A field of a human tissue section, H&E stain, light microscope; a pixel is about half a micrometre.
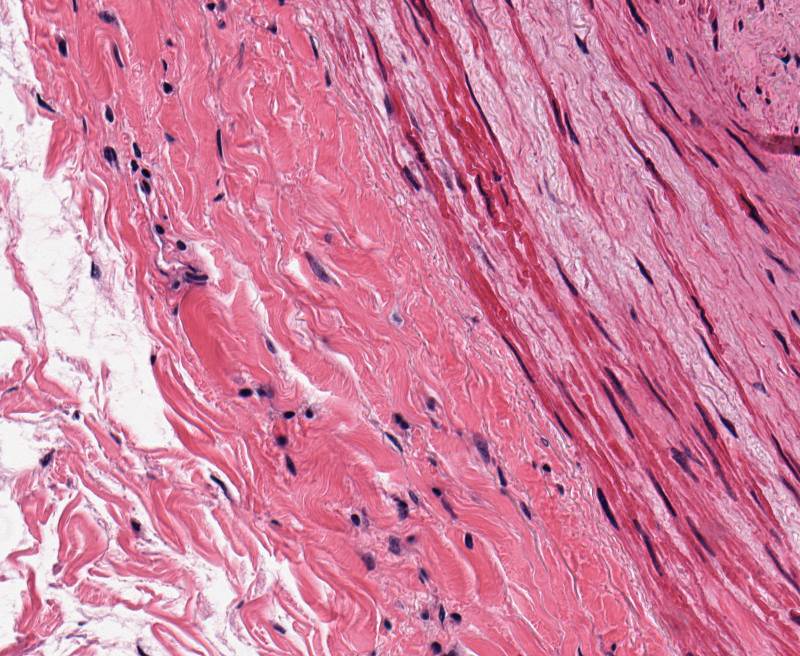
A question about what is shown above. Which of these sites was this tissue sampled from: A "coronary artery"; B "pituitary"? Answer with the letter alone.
A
